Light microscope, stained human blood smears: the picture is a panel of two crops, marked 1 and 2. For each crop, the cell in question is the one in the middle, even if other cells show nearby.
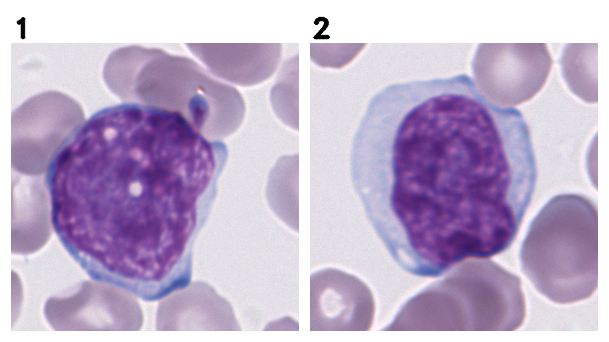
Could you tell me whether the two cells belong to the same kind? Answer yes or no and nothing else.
yes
